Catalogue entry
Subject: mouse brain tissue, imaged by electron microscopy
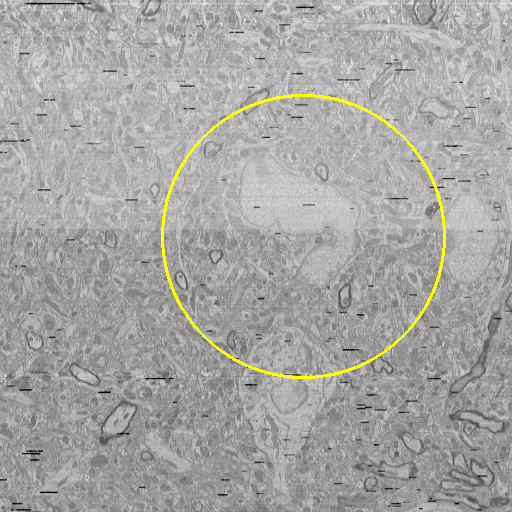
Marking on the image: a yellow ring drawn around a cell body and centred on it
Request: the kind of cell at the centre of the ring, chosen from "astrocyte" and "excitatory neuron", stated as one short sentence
The ring has an astrocyte at its centre.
